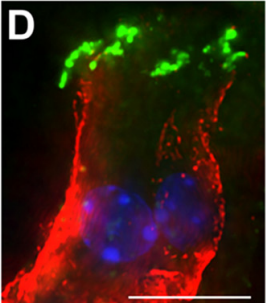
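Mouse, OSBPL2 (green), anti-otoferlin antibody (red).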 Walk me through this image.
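Flask-shaped cells are outlined by red staining of their cytoplasm, widening toward the bottom where round blue nuclei lie. The red narrows toward the top of the cells, and there short green beaded rows sit along the apical edge. The green stays above the cell bodies and does not fill the cytoplasm. These are cochlear inner hair cells, and the green rows at their apex are their stereocilia.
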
